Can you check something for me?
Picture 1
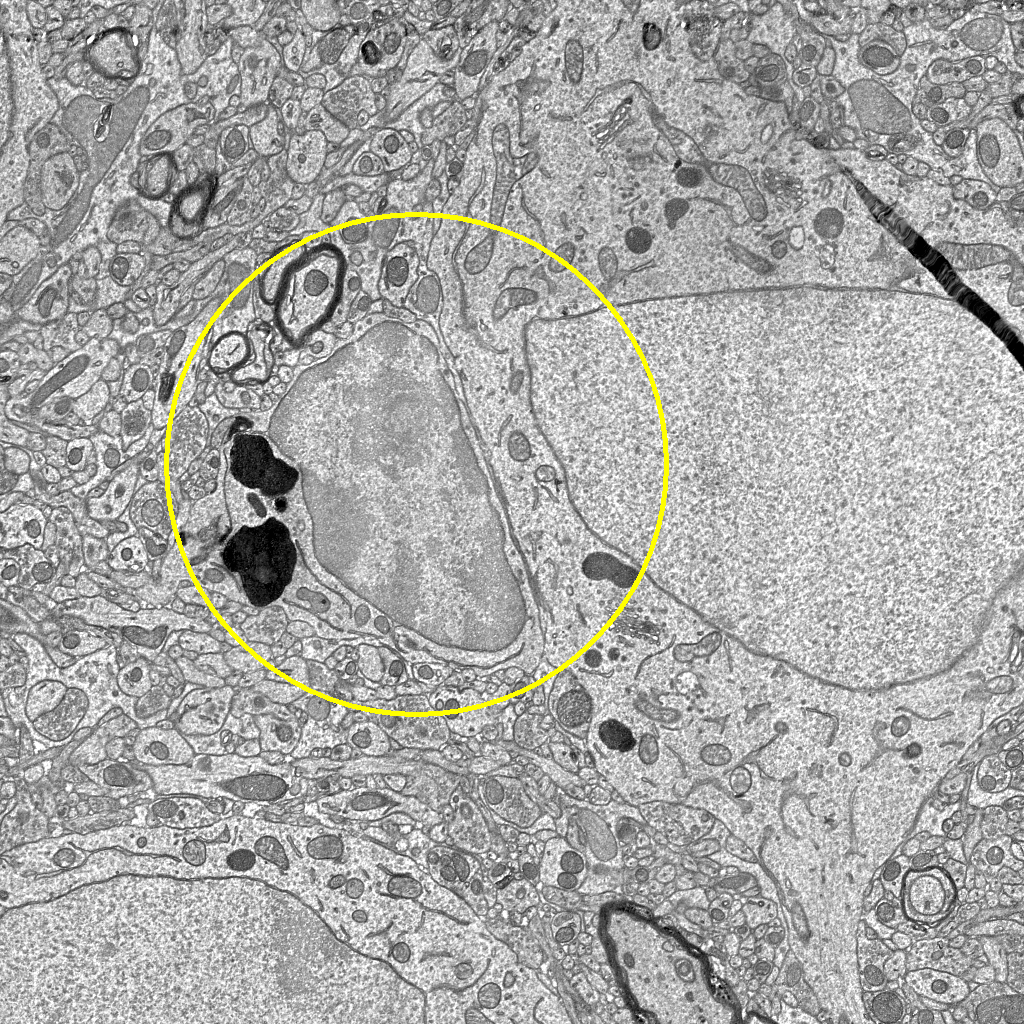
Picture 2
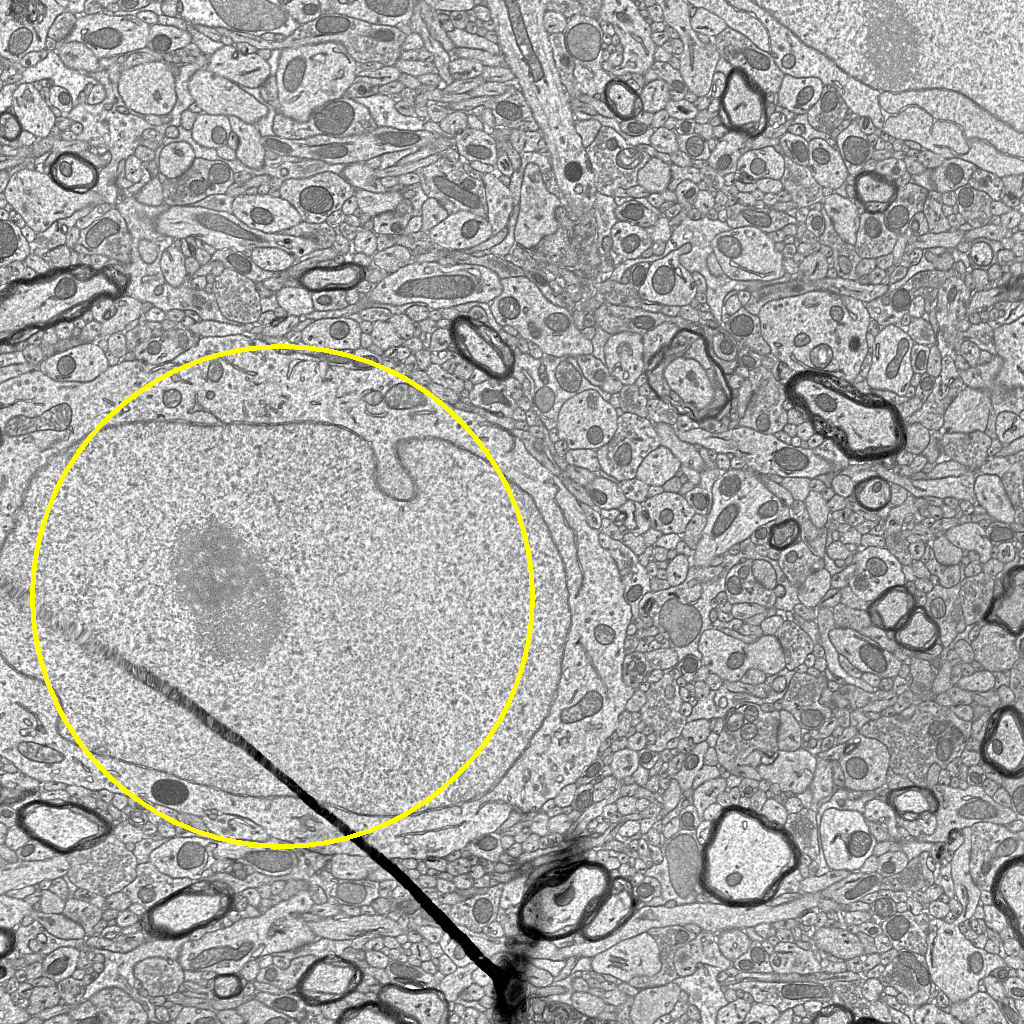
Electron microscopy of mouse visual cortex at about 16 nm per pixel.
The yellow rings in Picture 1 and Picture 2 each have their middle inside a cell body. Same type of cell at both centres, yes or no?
no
